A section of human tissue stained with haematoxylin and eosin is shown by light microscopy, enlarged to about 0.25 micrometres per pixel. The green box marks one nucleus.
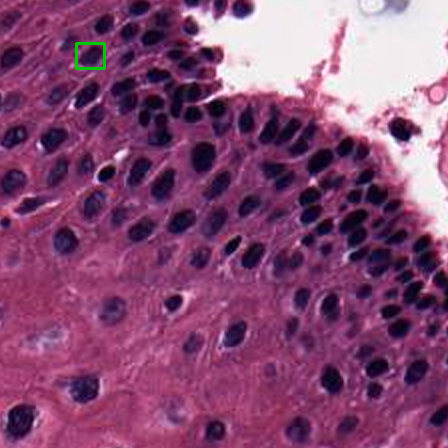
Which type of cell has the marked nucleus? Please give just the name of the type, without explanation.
squamous epithelial cell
